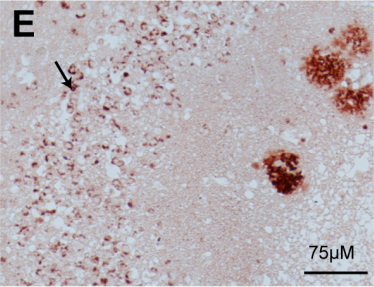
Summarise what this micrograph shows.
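The granular cells are small, round and densely packed, many showing small brown dots or rims of stain around pale centres. To the right the tissue is paler and less cellular. Several large rounded clumps of dense dark-brown granular deposit lie in this neuropil, each much bigger than a single cell. The surrounding tissue shows a light, diffuse brownish background.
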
